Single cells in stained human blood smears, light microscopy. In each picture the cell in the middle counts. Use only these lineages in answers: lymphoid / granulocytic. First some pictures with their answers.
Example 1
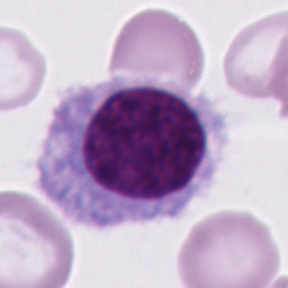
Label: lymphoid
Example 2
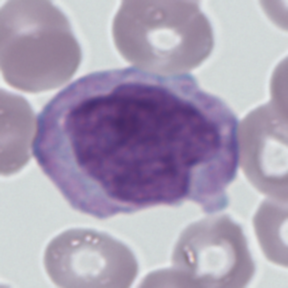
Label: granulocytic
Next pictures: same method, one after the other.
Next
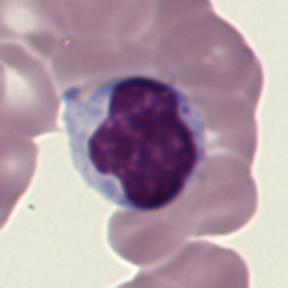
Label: lymphoid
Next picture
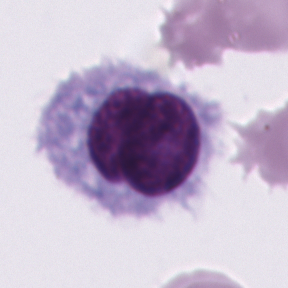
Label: lymphoid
